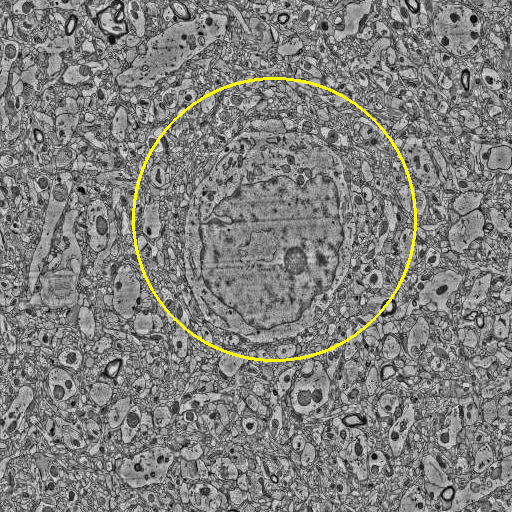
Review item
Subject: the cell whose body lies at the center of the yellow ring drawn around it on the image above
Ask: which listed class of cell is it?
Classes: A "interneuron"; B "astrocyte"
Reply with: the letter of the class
A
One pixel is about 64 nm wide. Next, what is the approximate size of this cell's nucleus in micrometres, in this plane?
Approximately 10 micrometres across in this plane.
